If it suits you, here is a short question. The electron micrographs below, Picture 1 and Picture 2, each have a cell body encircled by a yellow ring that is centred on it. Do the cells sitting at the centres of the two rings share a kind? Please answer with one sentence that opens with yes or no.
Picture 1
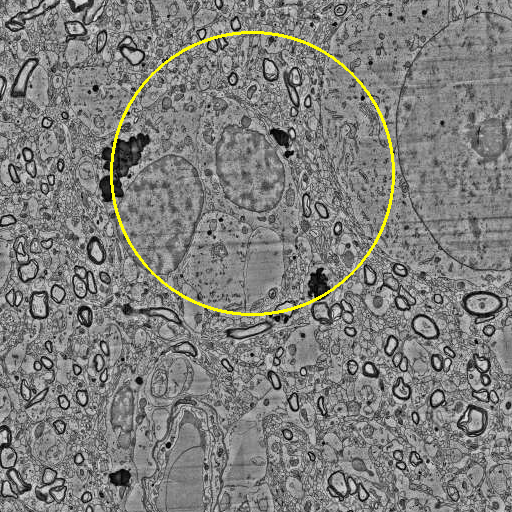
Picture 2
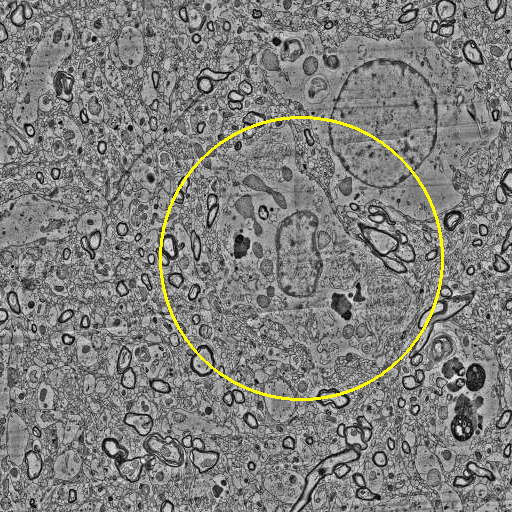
No, the two cells sitting at the ring centres fall into two kinds.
